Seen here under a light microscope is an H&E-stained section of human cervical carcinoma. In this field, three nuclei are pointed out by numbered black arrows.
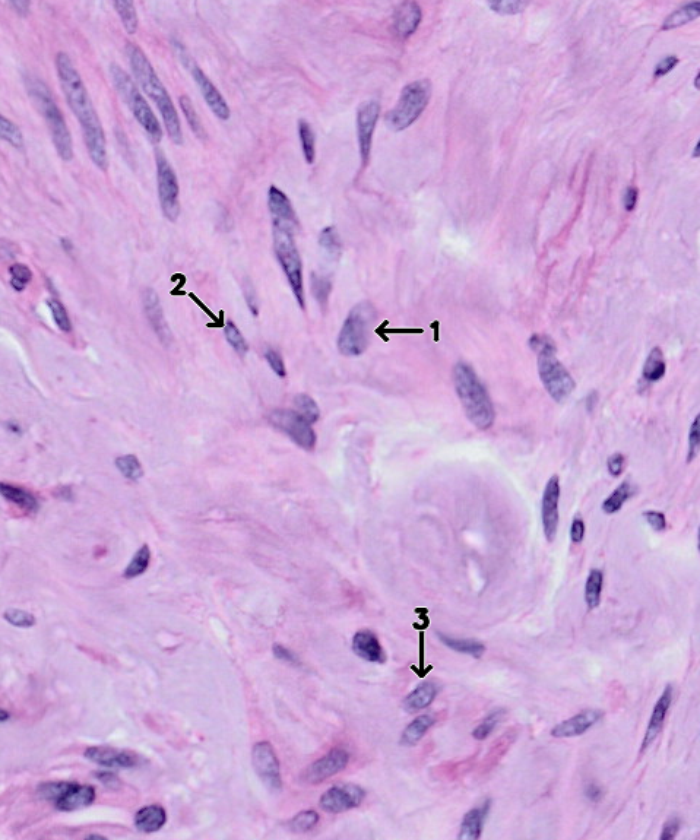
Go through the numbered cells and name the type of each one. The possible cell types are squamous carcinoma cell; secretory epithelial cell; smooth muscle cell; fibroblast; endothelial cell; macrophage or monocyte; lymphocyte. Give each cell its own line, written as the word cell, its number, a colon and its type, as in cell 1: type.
cell 1: fibroblast
cell 2: smooth muscle cell
cell 3: smooth muscle cell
